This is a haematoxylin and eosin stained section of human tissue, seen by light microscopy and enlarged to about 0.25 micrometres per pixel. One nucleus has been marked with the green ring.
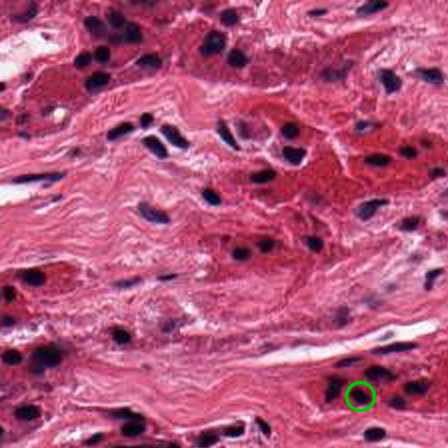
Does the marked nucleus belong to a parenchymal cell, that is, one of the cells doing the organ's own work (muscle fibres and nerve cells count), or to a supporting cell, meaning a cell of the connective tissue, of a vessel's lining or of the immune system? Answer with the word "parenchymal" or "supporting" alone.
parenchymal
